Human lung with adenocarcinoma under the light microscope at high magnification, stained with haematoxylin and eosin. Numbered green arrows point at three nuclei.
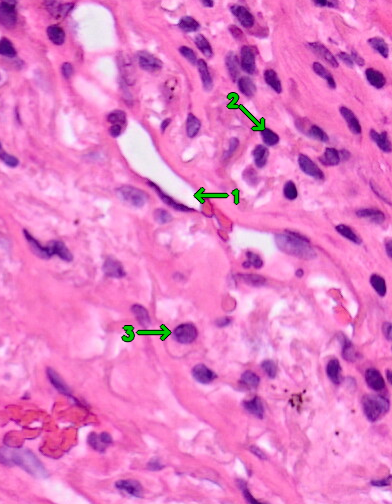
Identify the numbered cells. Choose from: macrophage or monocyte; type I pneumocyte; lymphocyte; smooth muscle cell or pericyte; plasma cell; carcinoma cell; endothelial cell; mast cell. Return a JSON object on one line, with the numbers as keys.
{"1": "endothelial cell", "2": "lymphocyte", "3": "plasma cell"}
